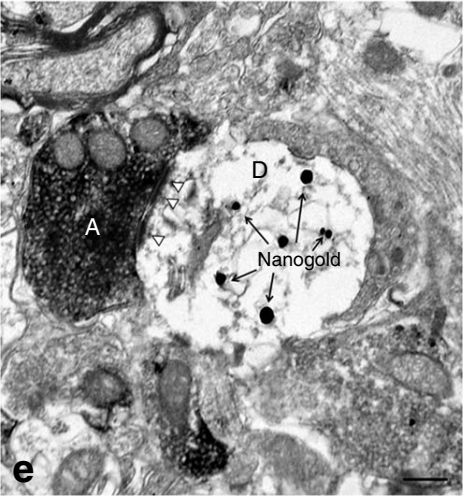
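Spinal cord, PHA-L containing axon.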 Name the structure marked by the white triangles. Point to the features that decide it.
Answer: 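Asymmetric synapses. The triangles line a contact between a dark vesicle-filled terminal and a pale profile. A dense thickening lies on the postsynaptic side.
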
